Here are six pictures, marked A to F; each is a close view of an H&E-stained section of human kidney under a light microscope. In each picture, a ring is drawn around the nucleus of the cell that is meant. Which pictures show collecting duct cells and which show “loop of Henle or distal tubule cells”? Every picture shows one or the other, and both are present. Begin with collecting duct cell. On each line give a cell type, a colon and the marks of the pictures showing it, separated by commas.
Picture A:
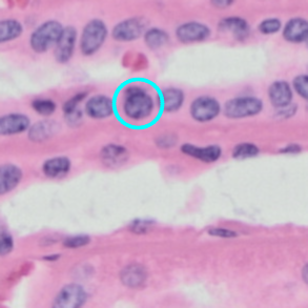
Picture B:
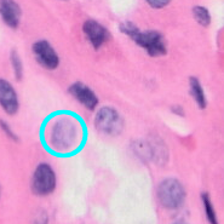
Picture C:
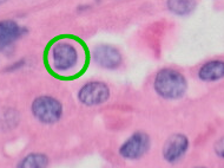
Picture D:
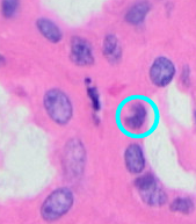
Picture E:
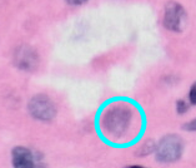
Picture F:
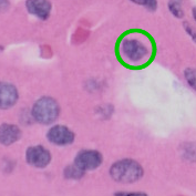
collecting duct cell: A, B
loop of Henle or distal tubule cell: C, D, E, F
